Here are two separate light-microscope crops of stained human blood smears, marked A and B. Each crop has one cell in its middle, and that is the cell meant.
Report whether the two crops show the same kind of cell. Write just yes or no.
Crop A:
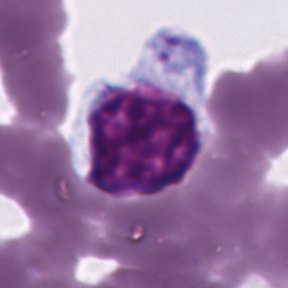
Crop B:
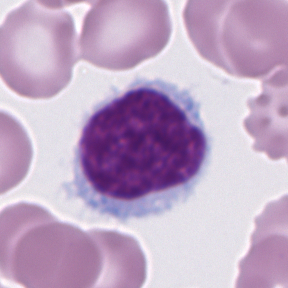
yes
